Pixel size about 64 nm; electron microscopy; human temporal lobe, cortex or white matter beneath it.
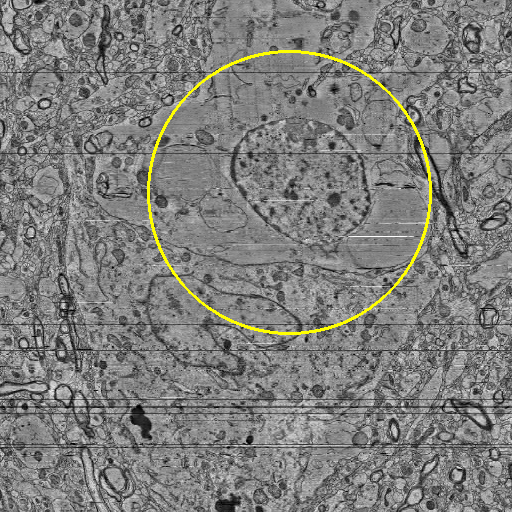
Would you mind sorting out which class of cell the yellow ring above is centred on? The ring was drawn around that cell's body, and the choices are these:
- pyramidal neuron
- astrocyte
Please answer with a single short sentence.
This is the cell body of an astrocyte.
